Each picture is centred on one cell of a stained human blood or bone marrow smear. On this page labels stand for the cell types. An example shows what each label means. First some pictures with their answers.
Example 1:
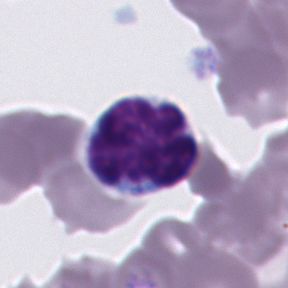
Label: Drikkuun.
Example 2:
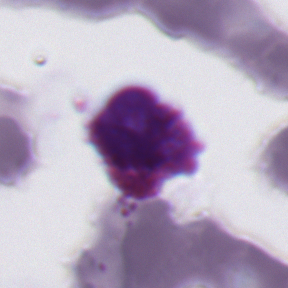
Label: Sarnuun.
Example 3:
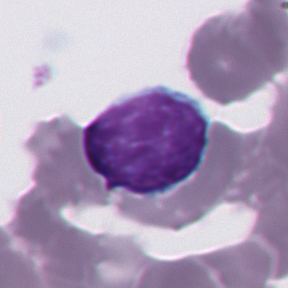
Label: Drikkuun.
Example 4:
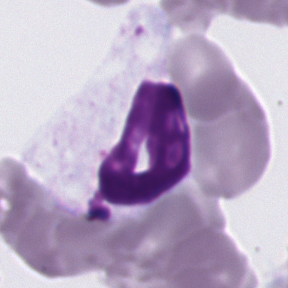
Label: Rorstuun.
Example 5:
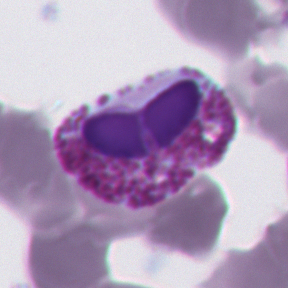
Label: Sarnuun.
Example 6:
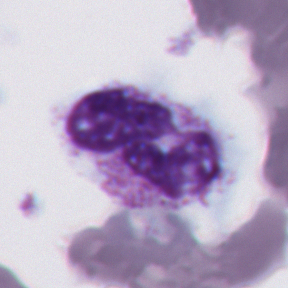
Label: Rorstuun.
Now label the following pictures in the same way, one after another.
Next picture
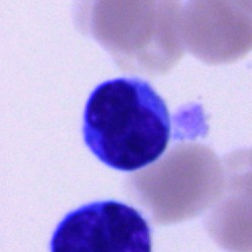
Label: Drikkuun.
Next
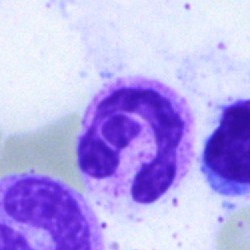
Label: Rorstuun.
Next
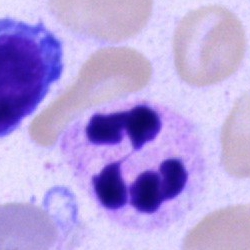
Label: Rorstuun.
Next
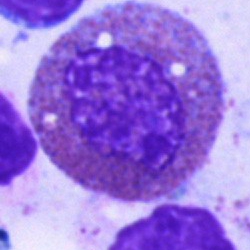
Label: Sarnuun.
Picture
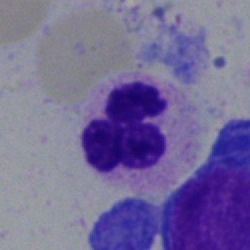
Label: Rorstuun.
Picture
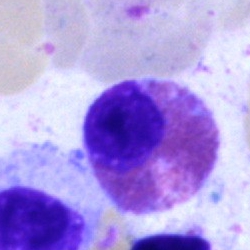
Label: Sarnuun.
